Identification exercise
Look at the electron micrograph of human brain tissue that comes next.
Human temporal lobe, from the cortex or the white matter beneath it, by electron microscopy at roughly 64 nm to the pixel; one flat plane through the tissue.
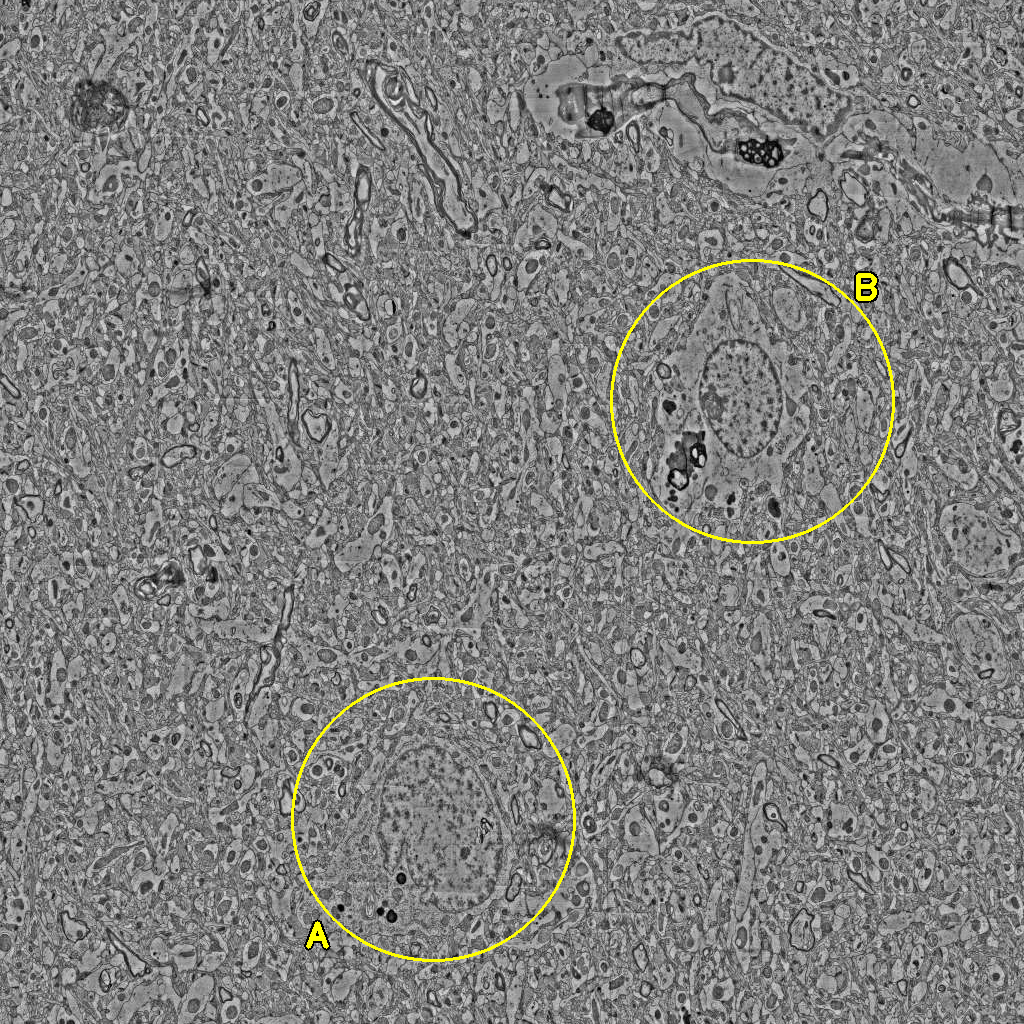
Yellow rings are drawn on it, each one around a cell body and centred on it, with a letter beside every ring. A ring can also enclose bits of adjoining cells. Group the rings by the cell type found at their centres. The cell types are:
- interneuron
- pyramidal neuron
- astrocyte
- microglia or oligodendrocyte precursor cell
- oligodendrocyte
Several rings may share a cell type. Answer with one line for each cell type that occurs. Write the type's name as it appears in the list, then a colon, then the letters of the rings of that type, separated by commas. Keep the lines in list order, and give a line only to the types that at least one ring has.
interneuron: A
astrocyte: B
